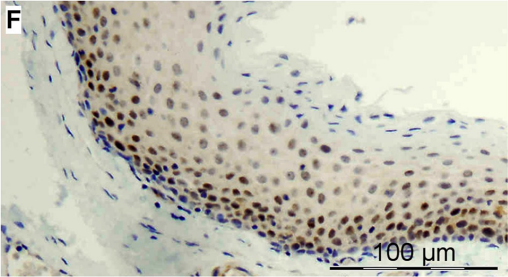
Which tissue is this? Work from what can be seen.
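Many-layered epithelium with cells flattening toward the free surface. The answer: squamous epithelium.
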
